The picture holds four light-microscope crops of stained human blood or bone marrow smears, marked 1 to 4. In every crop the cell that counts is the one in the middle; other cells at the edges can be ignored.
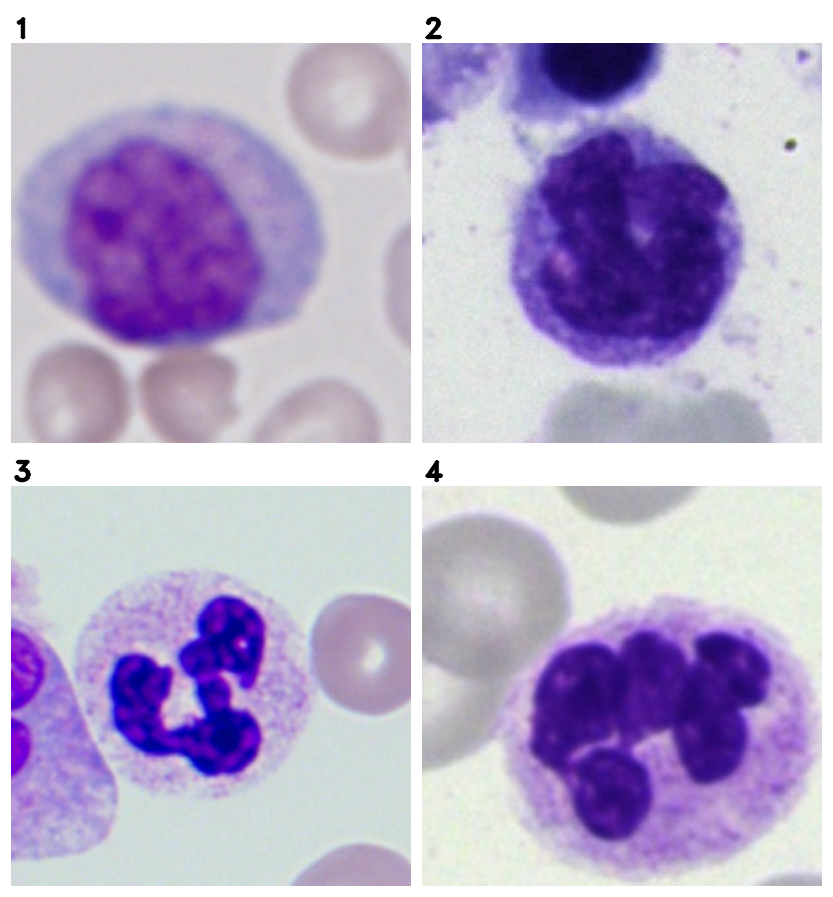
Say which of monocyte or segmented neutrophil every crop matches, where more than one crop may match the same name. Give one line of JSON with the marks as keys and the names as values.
{"1": "monocyte", "2": "monocyte", "3": "segmented neutrophil", "4": "segmented neutrophil"}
